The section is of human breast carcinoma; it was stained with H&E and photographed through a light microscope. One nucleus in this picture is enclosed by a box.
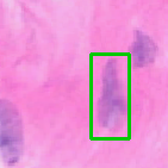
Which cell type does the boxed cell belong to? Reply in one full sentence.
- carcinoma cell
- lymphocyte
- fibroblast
Recorded by type, the boxed cell is a fibroblast.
